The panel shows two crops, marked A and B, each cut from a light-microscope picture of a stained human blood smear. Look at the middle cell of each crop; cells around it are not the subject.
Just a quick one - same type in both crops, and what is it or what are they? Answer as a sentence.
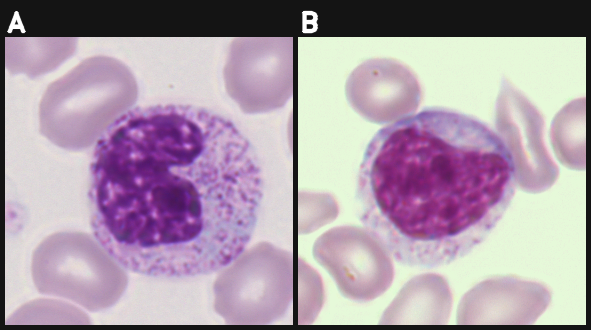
Yes, metamyelocytes lie at the centre of both crops.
